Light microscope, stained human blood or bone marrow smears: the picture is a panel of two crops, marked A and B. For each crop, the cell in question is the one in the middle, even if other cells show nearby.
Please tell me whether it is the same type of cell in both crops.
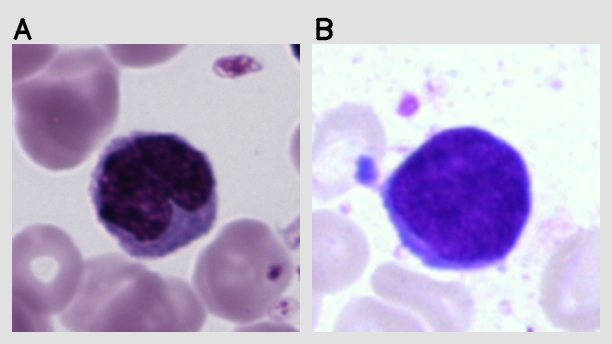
no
